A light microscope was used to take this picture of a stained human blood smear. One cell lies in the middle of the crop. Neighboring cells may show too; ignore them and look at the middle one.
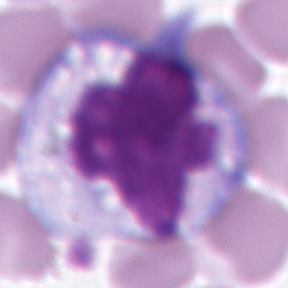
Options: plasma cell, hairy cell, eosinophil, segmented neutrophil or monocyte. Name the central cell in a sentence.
The cell shown in the center of this light-microscope crop is a monocyte.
